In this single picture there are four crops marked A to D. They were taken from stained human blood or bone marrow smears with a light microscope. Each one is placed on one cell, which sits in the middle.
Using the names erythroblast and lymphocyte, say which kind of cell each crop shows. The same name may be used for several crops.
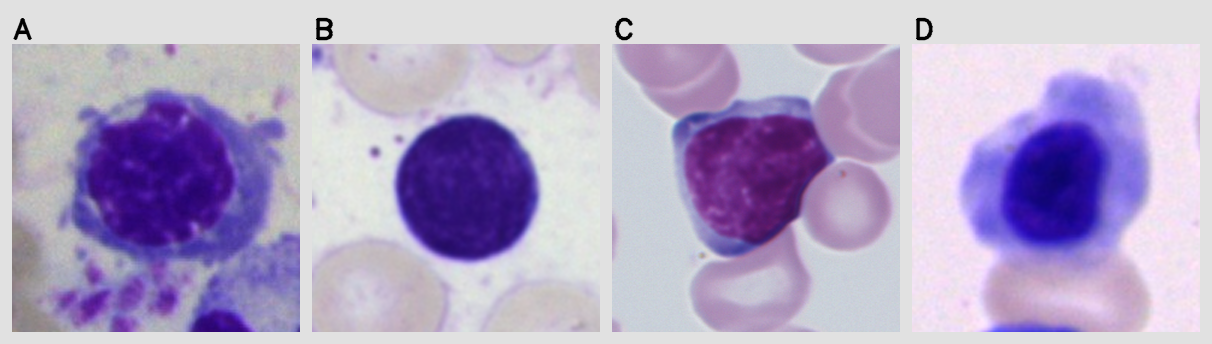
A: erythroblast
B: lymphocyte
C: lymphocyte
D: erythroblast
